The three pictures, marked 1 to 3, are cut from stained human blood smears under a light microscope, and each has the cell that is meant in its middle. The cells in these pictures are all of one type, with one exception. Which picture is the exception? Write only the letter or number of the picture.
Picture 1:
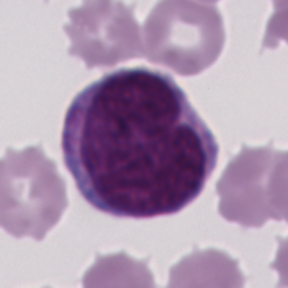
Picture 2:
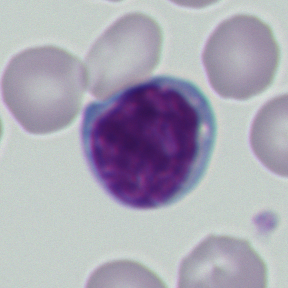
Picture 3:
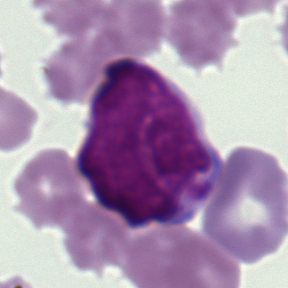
2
